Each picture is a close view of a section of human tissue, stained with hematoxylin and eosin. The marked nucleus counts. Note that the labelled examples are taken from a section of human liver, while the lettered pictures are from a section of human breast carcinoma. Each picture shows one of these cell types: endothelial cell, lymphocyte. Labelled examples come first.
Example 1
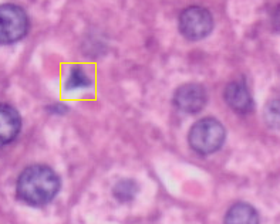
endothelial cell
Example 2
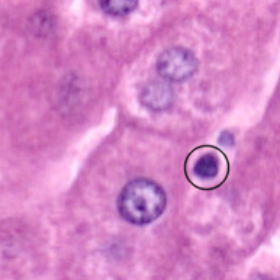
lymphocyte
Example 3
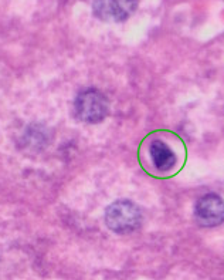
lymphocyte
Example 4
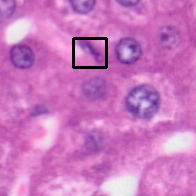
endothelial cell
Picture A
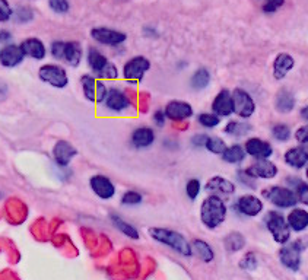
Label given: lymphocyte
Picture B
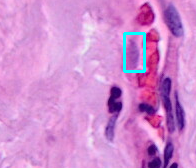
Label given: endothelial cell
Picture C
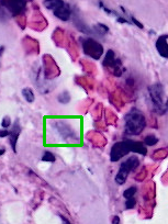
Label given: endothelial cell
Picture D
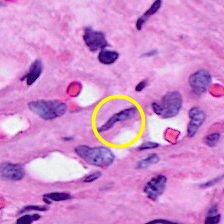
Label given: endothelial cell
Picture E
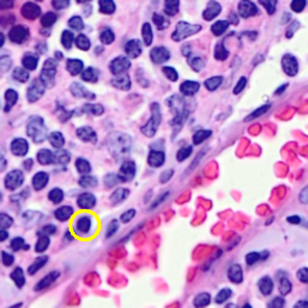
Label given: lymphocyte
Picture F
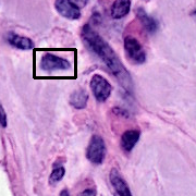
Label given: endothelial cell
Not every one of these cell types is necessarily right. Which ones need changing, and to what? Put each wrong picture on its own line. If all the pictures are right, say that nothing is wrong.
F: change endothelial cell to lymphocyte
